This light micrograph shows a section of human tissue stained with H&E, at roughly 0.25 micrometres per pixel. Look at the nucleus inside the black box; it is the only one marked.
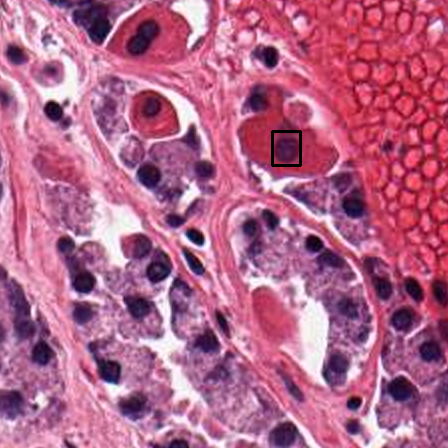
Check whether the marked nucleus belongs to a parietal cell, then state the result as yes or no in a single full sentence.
Yes, the cell whose nucleus is marked is a parietal cell.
